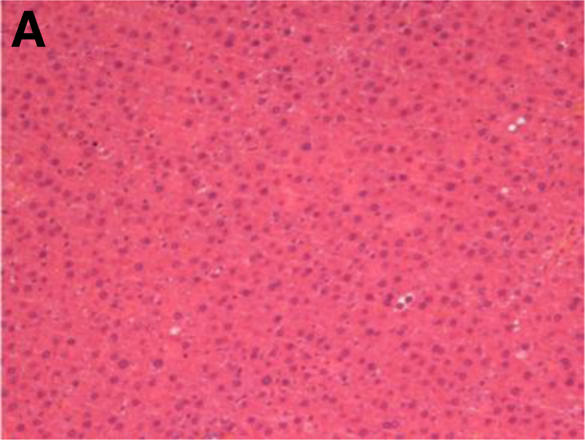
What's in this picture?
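This is liver tissue made up of sheets of polygonal hepatocytes with abundant, evenly pink cytoplasm. Narrow sinusoidal spaces run between the cell plates.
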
